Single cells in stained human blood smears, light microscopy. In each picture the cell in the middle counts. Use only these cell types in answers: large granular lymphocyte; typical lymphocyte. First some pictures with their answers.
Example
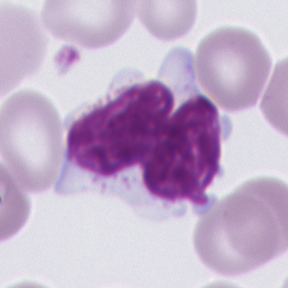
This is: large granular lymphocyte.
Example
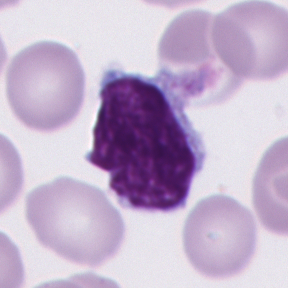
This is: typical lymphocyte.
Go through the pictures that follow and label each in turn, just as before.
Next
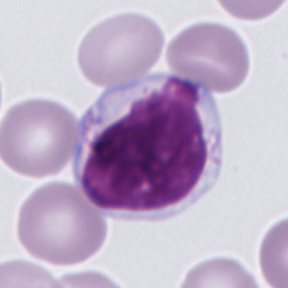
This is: large granular lymphocyte.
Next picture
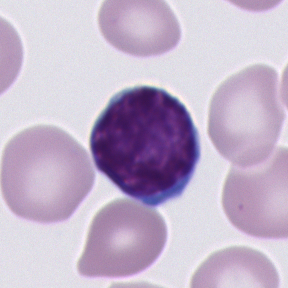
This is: typical lymphocyte.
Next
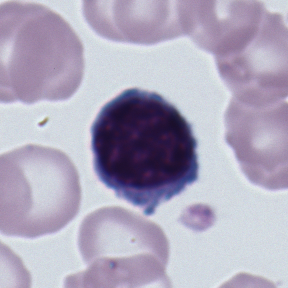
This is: typical lymphocyte.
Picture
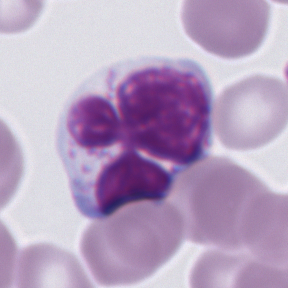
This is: large granular lymphocyte.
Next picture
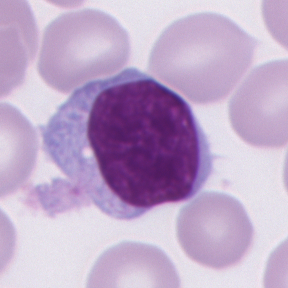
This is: typical lymphocyte.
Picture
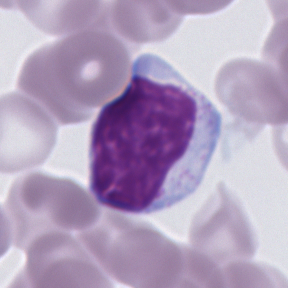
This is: large granular lymphocyte.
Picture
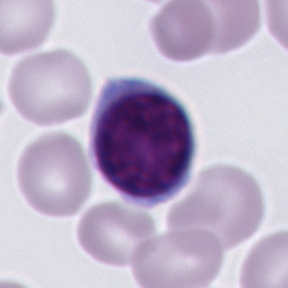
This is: typical lymphocyte.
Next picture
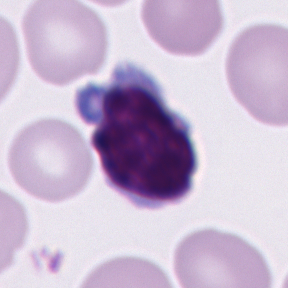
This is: typical lymphocyte.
